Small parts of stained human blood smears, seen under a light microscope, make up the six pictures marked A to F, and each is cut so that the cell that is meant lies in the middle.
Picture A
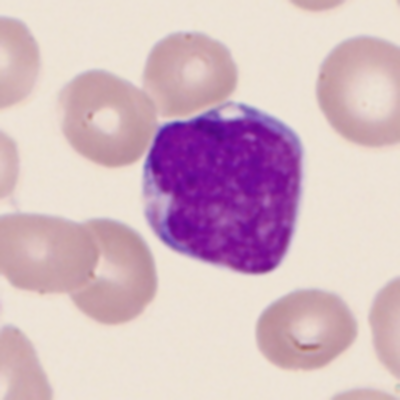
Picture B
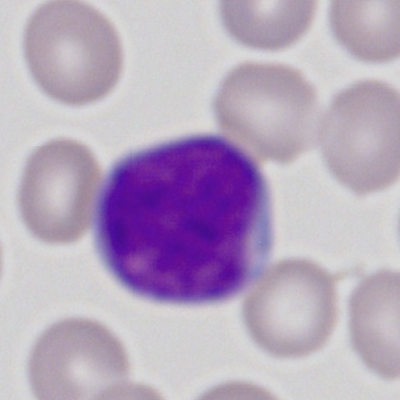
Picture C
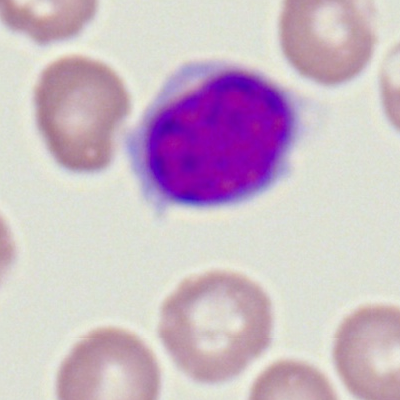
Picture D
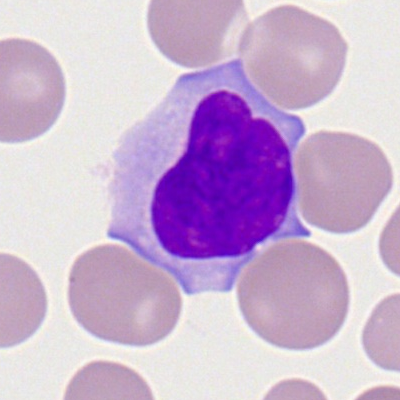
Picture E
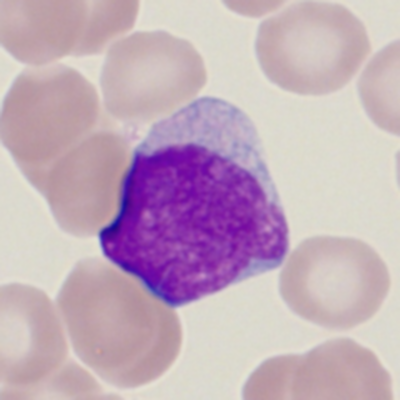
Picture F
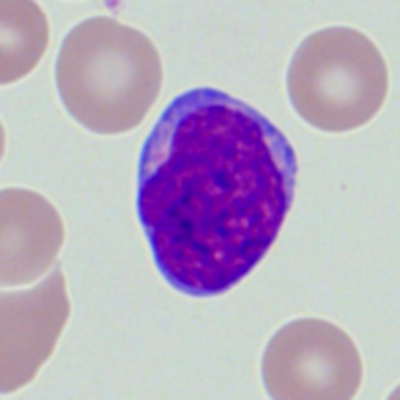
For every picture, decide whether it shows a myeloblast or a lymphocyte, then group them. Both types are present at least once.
A: myeloblast
B: myeloblast
C: lymphocyte
D: lymphocyte
E: myeloblast
F: myeloblast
